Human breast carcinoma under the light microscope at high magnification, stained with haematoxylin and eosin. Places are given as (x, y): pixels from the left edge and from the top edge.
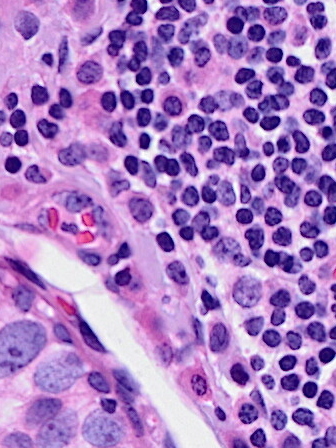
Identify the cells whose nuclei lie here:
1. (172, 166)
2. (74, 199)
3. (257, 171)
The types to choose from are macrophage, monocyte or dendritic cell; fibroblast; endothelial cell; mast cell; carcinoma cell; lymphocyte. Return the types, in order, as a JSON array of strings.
["lymphocyte", "endothelial cell", "lymphocyte"]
